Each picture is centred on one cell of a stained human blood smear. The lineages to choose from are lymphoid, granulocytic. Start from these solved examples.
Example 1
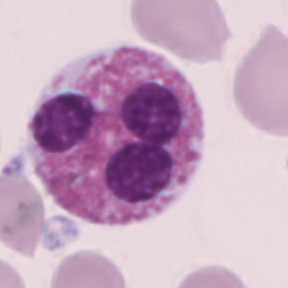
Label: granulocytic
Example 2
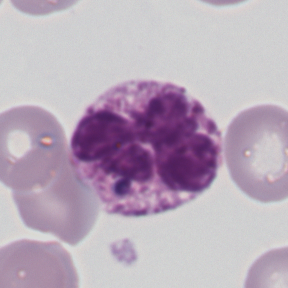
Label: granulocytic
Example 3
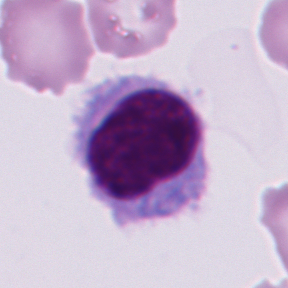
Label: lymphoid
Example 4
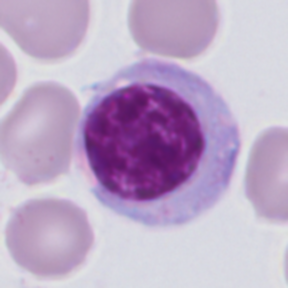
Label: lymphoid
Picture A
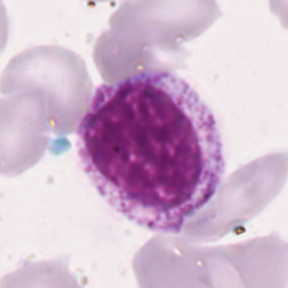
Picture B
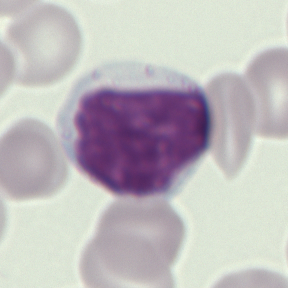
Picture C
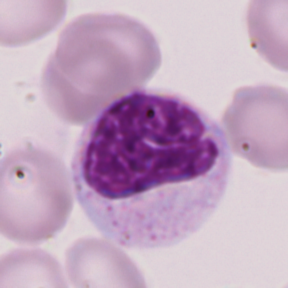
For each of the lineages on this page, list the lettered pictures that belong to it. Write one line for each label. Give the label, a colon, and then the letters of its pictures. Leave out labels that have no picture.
lymphoid: B
granulocytic: A, C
